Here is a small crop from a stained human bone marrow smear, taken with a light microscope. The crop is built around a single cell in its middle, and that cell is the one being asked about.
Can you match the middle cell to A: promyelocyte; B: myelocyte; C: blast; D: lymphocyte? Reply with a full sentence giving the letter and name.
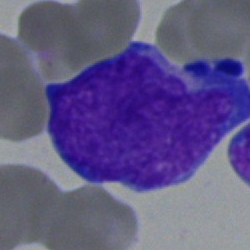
The centrally positioned cell is a blast, consistent with option C, which is correct.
